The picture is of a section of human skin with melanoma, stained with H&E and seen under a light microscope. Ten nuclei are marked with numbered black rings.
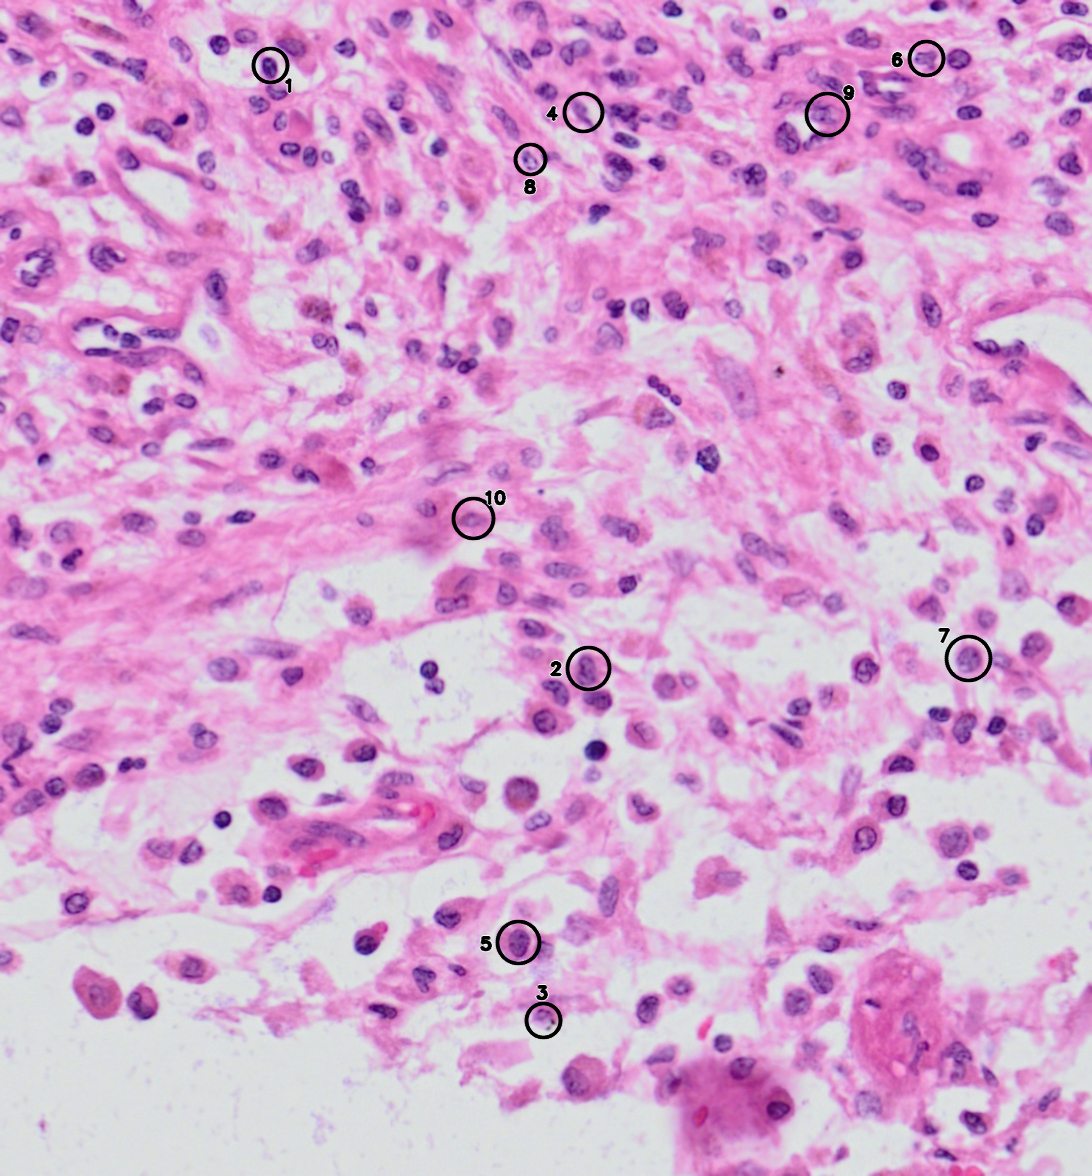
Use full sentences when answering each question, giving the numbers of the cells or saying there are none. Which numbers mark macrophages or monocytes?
The cells numbered 2, 3, 5, 6, 7 and 10 are, by type, macrophages or monocytes.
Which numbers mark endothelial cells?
Cell 9 is an endothelial cell, which is true of none of the other numbered cells.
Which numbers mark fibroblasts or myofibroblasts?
Only one marked cell, number 4, is a fibroblast or myofibroblast.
